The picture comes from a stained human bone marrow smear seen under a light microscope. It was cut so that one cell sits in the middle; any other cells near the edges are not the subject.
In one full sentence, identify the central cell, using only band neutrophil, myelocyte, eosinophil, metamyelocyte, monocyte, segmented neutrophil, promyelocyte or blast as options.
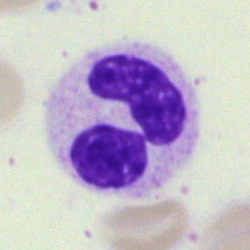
Framed in the middle of the crop is a segmented neutrophil.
